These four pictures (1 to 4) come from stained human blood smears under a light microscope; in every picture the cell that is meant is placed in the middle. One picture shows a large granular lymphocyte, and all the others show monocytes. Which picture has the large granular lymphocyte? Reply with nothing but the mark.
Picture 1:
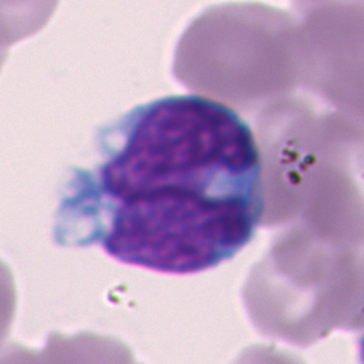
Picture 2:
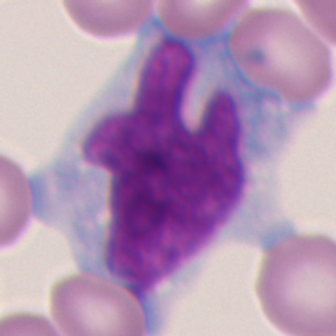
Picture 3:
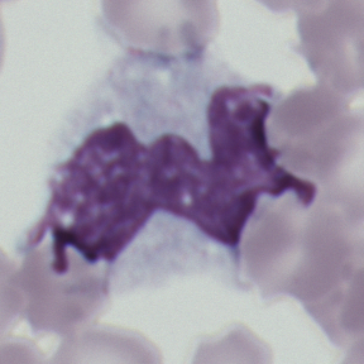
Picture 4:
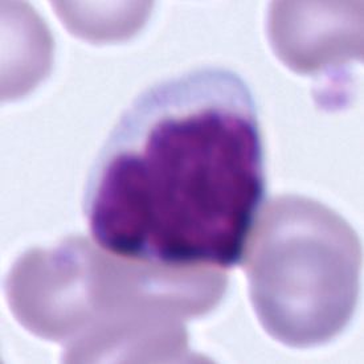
4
